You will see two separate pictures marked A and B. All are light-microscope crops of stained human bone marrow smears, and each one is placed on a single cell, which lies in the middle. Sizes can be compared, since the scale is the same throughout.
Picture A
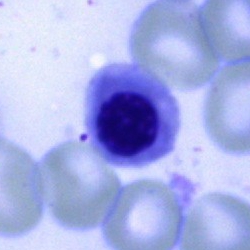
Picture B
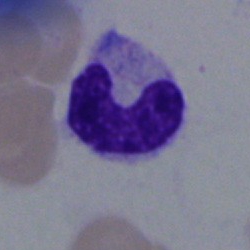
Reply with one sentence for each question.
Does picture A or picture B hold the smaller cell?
Picture A holds the smaller cell, since the cell in picture B covers about 1.5 times as much area.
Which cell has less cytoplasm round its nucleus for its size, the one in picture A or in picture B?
Of the two, the nucleus in picture B makes up the greater part of its cell.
